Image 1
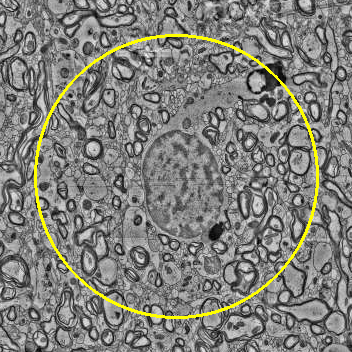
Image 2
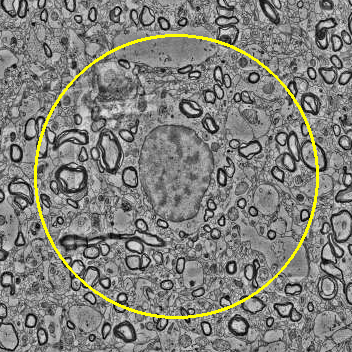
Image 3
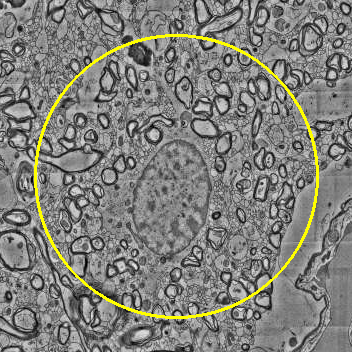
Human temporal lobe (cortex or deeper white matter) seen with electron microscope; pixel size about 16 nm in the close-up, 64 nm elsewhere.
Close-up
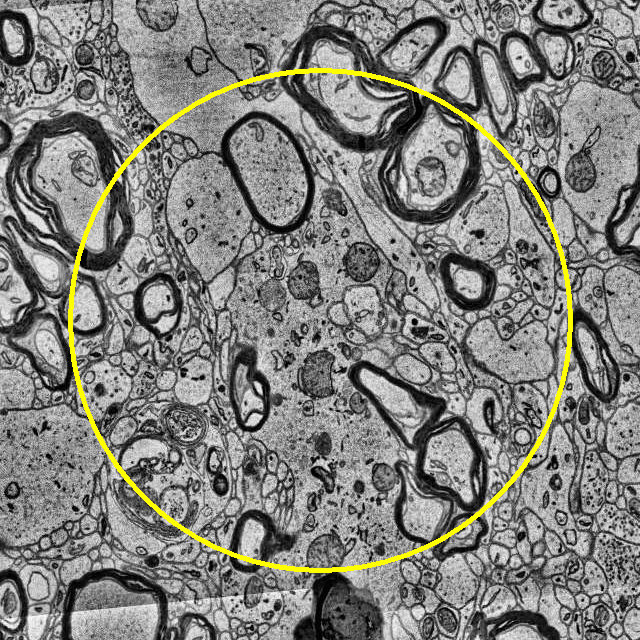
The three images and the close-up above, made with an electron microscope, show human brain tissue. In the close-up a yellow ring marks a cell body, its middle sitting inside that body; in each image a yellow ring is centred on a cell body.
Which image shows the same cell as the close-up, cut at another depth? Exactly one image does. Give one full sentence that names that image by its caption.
The cell pictured in the close-up is ringed in Image 2.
